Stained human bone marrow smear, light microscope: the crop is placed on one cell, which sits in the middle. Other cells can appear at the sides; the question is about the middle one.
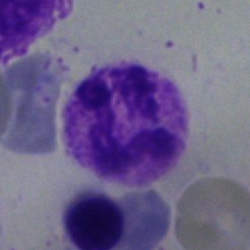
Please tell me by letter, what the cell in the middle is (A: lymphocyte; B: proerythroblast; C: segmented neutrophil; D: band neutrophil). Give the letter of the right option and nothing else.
C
